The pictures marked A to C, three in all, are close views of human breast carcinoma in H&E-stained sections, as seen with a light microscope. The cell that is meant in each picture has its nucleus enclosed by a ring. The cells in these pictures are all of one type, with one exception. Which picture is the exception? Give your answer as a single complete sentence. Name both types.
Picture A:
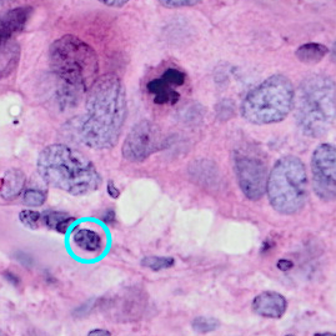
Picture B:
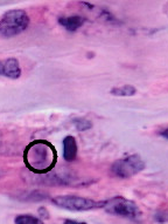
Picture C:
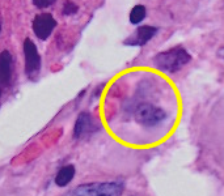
All pictures except A show endothelial cells; picture A shows a lymphocyte.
